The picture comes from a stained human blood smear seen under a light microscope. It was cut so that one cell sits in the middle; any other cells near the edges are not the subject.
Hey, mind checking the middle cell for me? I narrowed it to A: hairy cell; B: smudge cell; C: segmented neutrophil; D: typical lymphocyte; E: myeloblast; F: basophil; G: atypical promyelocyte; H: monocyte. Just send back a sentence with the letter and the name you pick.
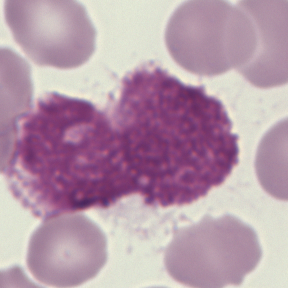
The cell in the center of this crop is a smudge cell, so option B is the one to pick.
